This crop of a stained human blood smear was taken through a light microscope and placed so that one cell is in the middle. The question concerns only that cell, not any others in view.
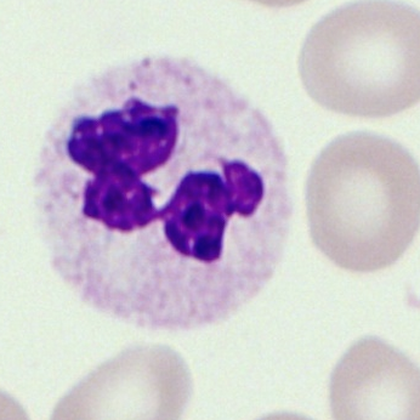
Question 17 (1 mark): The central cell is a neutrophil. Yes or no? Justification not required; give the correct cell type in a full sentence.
Yes, the cell in the middle of this smear crop is a neutrophil.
